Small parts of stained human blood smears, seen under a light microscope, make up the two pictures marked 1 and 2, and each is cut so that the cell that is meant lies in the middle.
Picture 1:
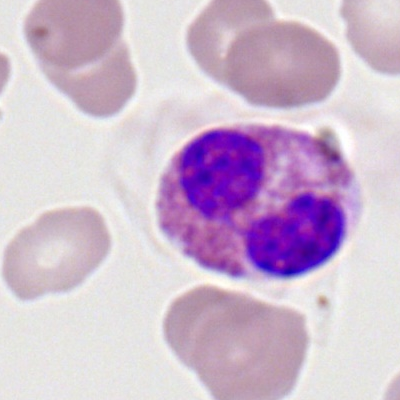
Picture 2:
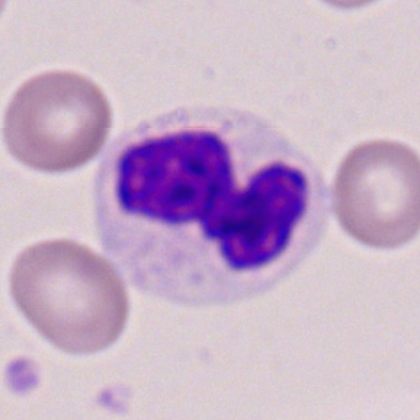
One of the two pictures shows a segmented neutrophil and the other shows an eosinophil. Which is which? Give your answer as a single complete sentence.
It is picture 1 that shows an eosinophil, and picture 2 that shows a segmented neutrophil.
